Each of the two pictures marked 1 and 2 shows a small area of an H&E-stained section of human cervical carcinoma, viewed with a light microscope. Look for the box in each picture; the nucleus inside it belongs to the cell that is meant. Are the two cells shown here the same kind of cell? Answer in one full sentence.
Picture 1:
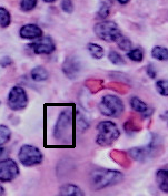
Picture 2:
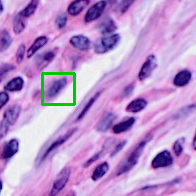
No; the cell in picture 1 is an endothelial cell, while the one in picture 2 is a lymphocyte.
